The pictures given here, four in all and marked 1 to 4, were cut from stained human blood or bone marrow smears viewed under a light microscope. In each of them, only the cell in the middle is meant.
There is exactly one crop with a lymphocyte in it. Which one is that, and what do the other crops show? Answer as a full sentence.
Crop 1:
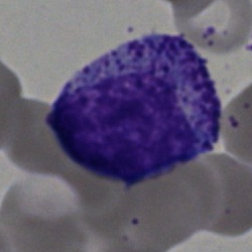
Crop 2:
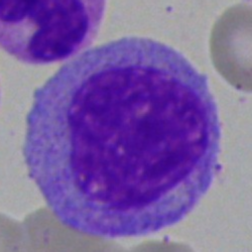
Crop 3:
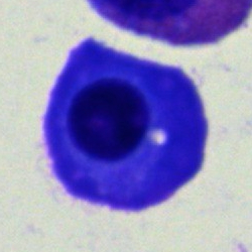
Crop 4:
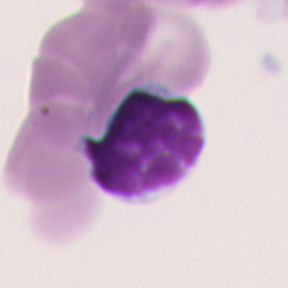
Sorting them out, crop 4 is a lymphocyte, while crop 1 is a myelocyte, crop 2 is a promyelocyte and crop 3 is a plasma cell.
